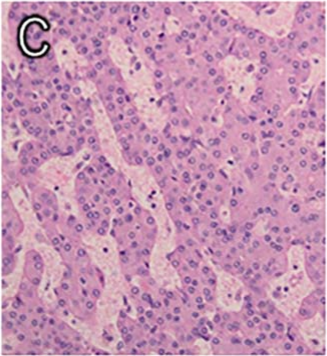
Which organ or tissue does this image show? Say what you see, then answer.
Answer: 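Hepatocellular carcinoma. Polygonal cells with pink cytoplasm and round central nuclei. Cells arranged in thick cords separated by pale sinusoid-like spaces. No portal tracts or normal lobular pattern.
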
